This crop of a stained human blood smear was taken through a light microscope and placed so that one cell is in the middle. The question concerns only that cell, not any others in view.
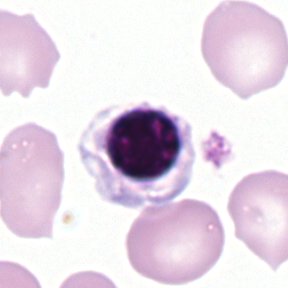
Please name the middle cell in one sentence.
By classification, the middle cell of this crop is an erythroblast.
